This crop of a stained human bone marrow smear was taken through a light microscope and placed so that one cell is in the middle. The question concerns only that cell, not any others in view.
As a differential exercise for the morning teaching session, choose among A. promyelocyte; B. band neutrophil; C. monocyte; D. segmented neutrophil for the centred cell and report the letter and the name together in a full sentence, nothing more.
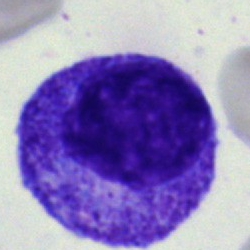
The cell centred in the crop is a promyelocyte, and the correct option is thus A.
